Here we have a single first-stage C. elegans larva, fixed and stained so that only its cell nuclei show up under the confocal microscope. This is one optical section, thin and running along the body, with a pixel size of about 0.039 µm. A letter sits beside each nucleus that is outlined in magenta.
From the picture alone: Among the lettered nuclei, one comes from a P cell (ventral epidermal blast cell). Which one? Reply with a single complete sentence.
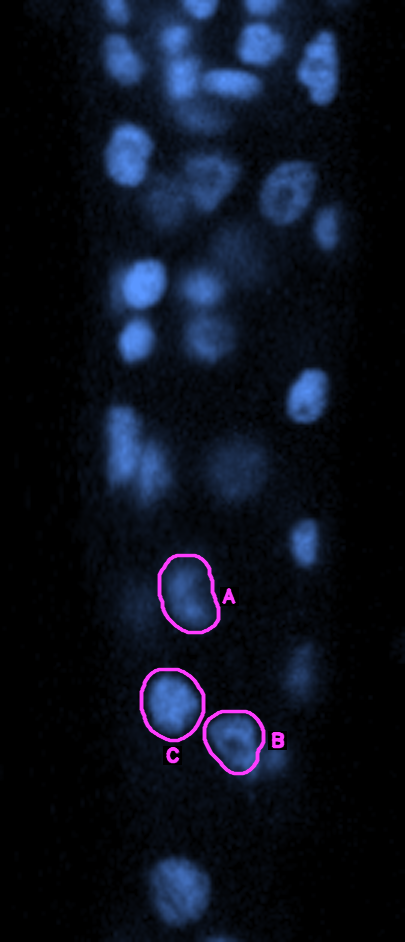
Of the marked nuclei, C is the one in a P cell (ventral epidermal blast cell).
